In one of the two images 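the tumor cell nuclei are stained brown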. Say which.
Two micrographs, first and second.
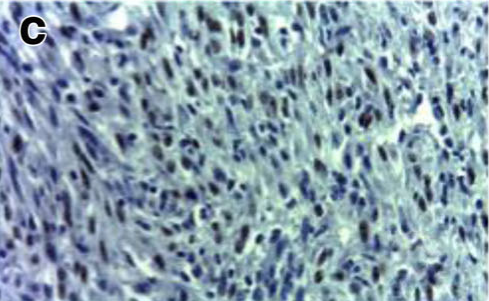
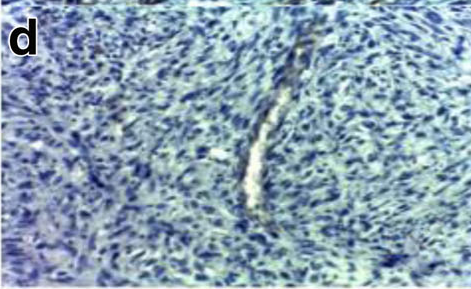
The first image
